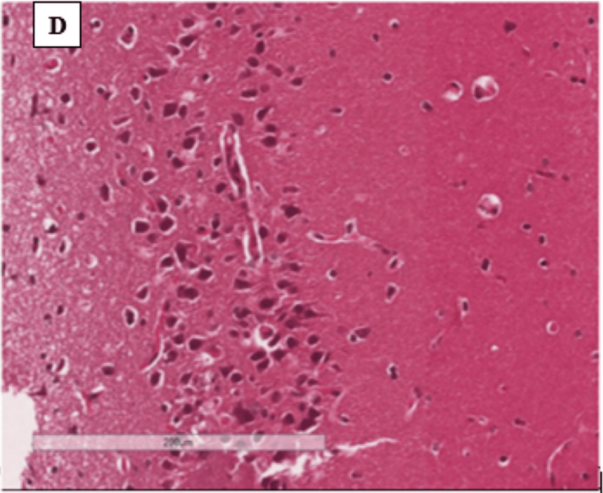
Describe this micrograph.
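A band of hippocampal pyramidal neurons runs vertically through pink fibrous neuropil. Many of the cell bodies are small, angular and deeply stained, with dark, dense nuclei instead of pale round ones, and many sit within clear empty spaces that separate them from the surrounding tissue. A few cells in the band still look paler and rounder. Small vessels cross the band, and scattered small nuclei lie in the homogeneous pink layer to the right. The shrunken, dark neurons with condensed chromatin and retraction spaces point to widespread neuronal apoptosis, unlike the normally rounded neurons of healthy tissue.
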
